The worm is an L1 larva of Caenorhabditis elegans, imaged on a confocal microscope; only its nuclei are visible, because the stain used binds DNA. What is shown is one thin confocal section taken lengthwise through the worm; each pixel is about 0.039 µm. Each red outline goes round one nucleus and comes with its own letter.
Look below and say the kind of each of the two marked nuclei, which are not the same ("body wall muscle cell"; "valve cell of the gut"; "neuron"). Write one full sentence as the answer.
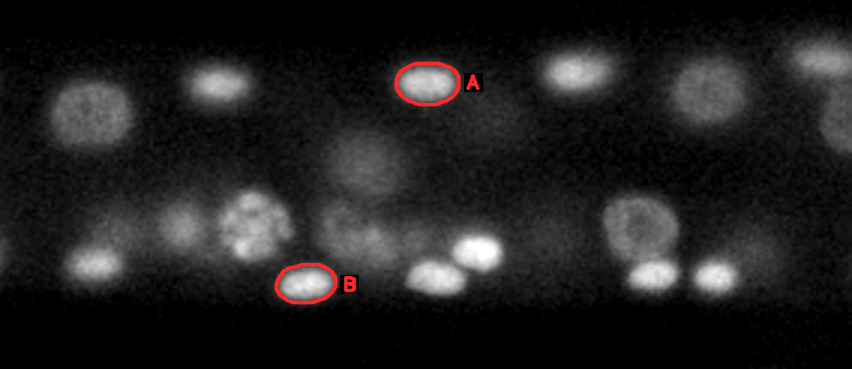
A is from a body wall muscle cell, and B is from a neuron.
